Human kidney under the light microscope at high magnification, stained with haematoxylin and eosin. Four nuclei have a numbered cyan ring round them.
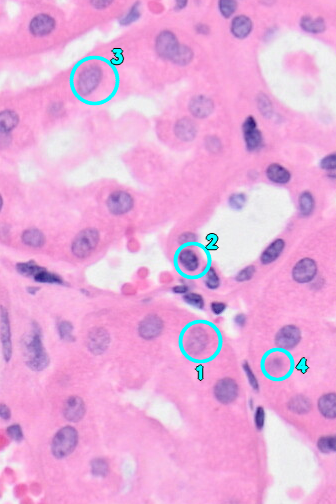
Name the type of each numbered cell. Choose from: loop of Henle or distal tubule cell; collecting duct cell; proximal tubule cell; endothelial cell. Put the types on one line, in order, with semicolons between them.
proximal tubule cell; collecting duct cell; proximal tubule cell; proximal tubule cell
